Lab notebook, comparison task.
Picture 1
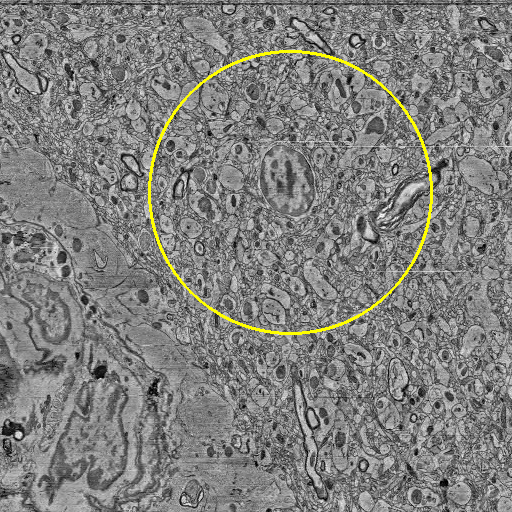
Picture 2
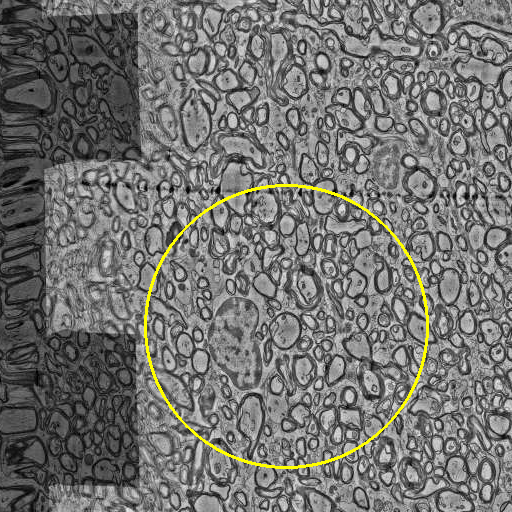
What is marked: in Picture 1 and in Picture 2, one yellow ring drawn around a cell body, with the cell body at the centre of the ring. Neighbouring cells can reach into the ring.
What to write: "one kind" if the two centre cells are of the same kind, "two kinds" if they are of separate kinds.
one kind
